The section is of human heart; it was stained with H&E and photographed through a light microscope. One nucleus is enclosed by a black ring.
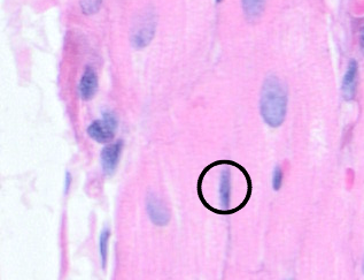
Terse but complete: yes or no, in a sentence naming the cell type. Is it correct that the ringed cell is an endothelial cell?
Yes, the ringed cell is correctly named as an endothelial cell.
